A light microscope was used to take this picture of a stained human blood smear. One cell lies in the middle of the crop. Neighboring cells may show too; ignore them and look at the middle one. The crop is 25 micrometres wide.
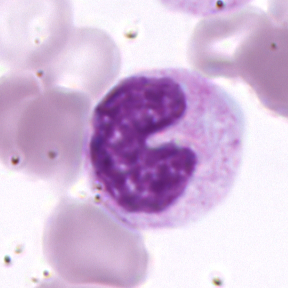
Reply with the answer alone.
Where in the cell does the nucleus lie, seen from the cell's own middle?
left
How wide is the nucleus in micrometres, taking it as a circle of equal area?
10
